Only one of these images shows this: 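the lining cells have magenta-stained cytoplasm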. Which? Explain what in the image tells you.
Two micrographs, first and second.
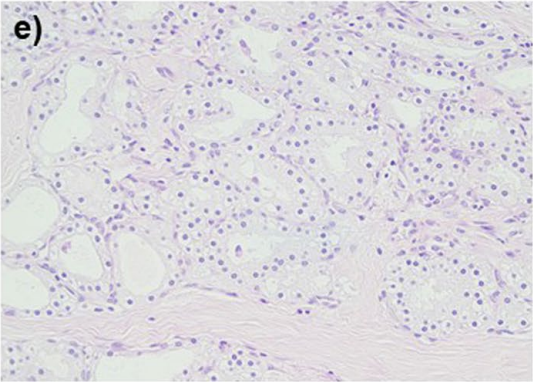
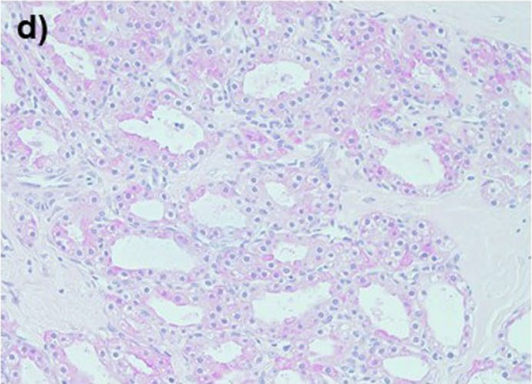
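The second image. First image: the lining cells have pale, almost colourless cytoplasm with blue nuclei. Second image: the cytoplasm of the lining cells shows pink-magenta granular staining.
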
